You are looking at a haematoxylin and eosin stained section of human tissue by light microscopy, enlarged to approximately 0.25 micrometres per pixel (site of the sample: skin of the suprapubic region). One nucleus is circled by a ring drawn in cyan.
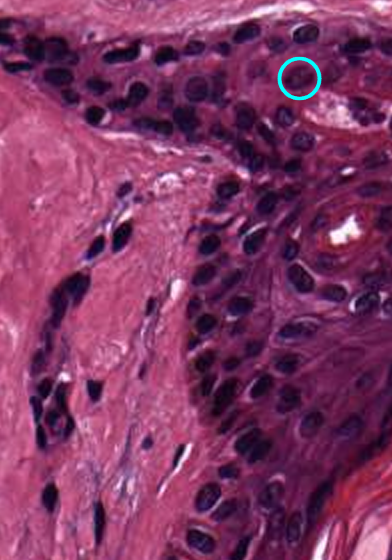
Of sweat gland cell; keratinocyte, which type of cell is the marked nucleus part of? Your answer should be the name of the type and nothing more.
keratinocyte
